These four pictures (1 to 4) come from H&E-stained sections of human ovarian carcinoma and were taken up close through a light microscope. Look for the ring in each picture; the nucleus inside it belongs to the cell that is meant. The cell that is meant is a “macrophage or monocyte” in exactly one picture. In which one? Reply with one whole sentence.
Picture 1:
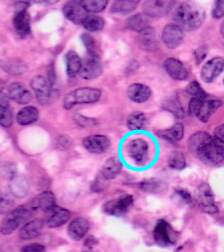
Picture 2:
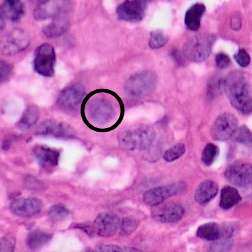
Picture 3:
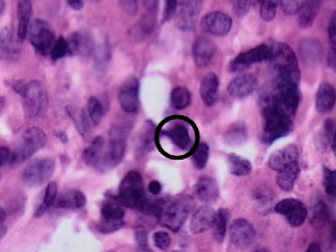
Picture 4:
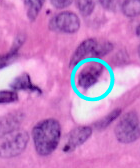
The cell in picture 1 is the “macrophage or monocyte”.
